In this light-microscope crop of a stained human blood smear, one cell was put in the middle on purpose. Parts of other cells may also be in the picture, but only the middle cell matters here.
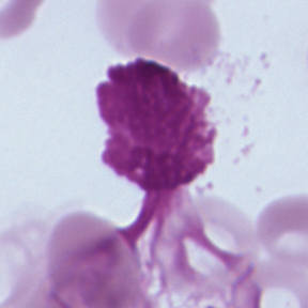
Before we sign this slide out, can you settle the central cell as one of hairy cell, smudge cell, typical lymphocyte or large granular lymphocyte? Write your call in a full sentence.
The central cell shown in this smear crop is a smudge cell.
